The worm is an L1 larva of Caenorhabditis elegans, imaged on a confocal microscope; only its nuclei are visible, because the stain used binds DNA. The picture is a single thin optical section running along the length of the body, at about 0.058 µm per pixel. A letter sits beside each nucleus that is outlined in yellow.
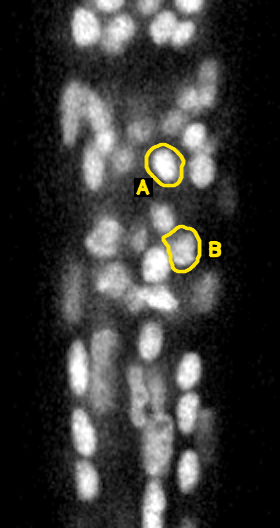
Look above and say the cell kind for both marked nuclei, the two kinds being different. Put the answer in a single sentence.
A is the nucleus of a neuron; B is the nucleus of a pharyngeal muscle cell.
